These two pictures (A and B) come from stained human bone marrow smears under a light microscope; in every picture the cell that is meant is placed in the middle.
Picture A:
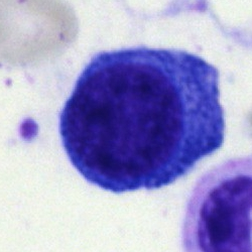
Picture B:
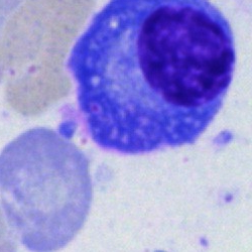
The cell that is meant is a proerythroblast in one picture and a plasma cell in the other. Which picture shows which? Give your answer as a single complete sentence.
It is picture A that shows a proerythroblast, and picture B that shows a plasma cell.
